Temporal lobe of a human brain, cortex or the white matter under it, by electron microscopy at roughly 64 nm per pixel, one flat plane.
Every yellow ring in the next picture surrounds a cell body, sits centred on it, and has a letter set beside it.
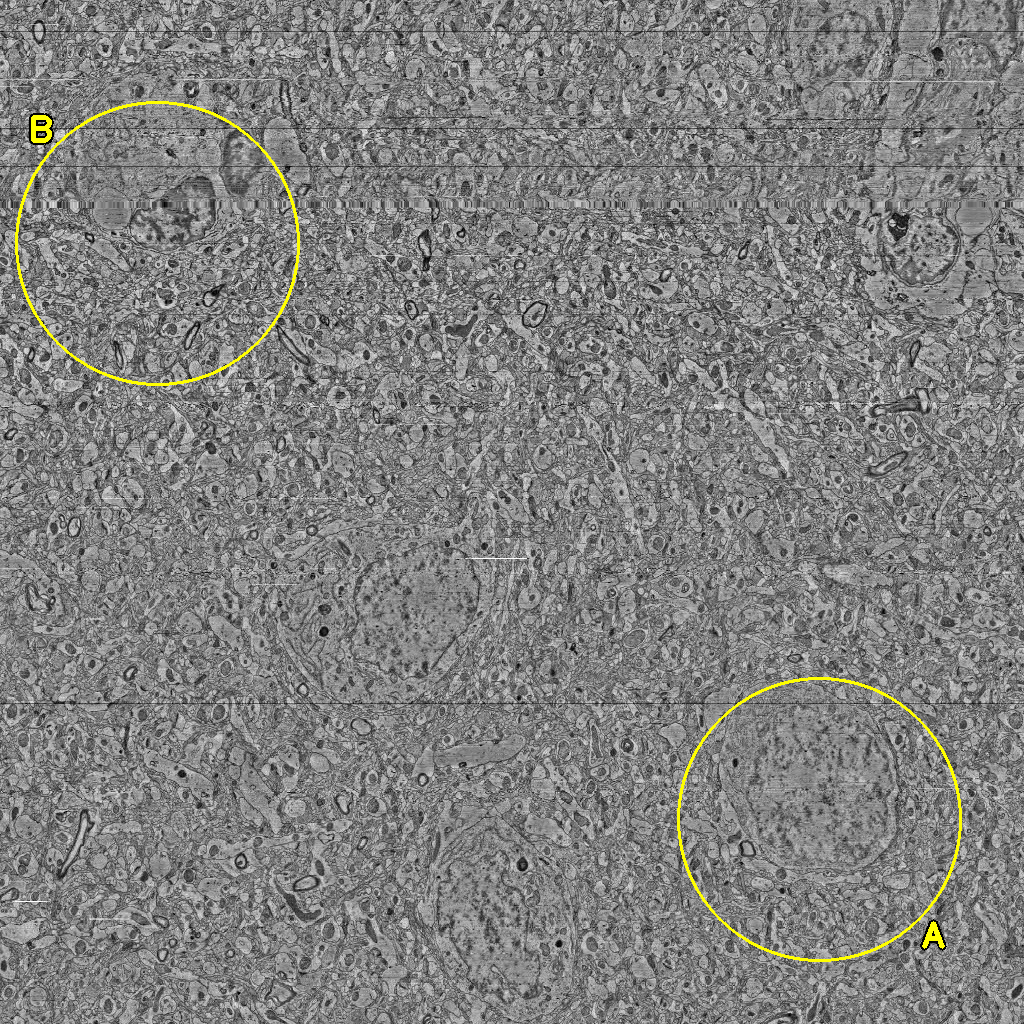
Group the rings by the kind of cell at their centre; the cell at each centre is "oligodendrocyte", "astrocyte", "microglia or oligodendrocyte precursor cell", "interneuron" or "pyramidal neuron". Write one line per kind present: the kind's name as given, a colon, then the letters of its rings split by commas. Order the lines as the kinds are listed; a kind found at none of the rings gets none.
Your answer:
microglia or oligodendrocyte precursor cell: B
interneuron: A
